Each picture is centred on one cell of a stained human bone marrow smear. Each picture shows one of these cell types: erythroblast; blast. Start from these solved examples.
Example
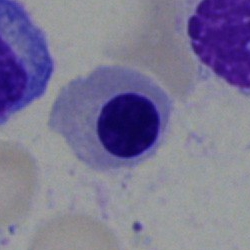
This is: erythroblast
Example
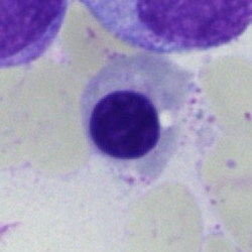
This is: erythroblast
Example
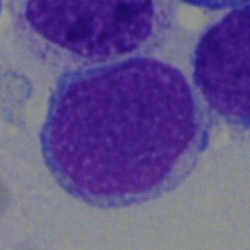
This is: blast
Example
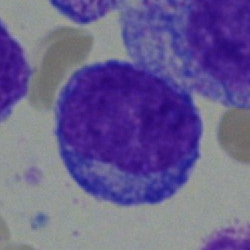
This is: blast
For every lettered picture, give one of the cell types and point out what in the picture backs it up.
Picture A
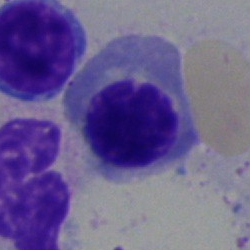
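erythroblast: The chromatin is dark purple and coarsely clumped.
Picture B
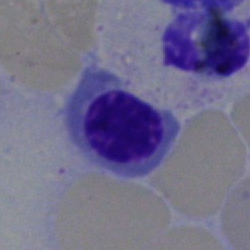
erythroblast: The chromatin is dark purple and coarsely clumped, with small paler patches between the clumps.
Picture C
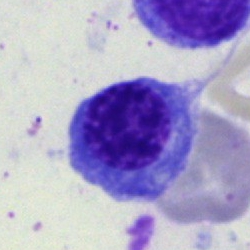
erythroblast: The chromatin is dark purple and coarsely clumped.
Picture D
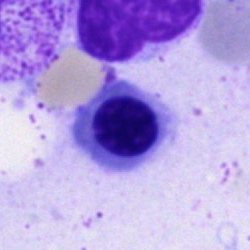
erythroblast: The chromatin is dark purple and dense, with coarse clumps.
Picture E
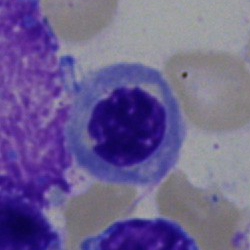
erythroblast: The chromatin is dense, dark purple and coarsely clumped.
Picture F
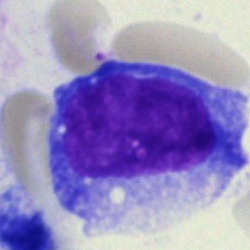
blast: The chromatin is finely textured rather than coarsely clumped.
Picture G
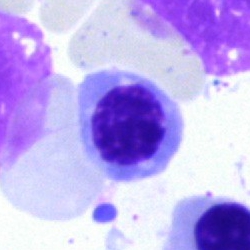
erythroblast: The chromatin is dark purple and coarsely clumped.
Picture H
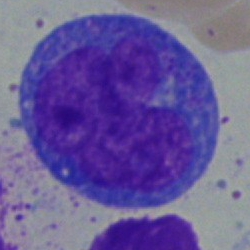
blast: The chromatin is finely stippled rather than coarsely clumped.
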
